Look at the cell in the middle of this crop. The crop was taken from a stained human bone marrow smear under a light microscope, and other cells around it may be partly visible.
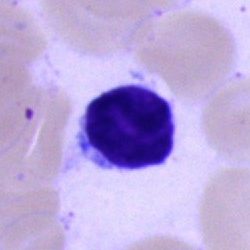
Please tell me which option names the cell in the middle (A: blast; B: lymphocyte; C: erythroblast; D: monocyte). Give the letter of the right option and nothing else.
B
